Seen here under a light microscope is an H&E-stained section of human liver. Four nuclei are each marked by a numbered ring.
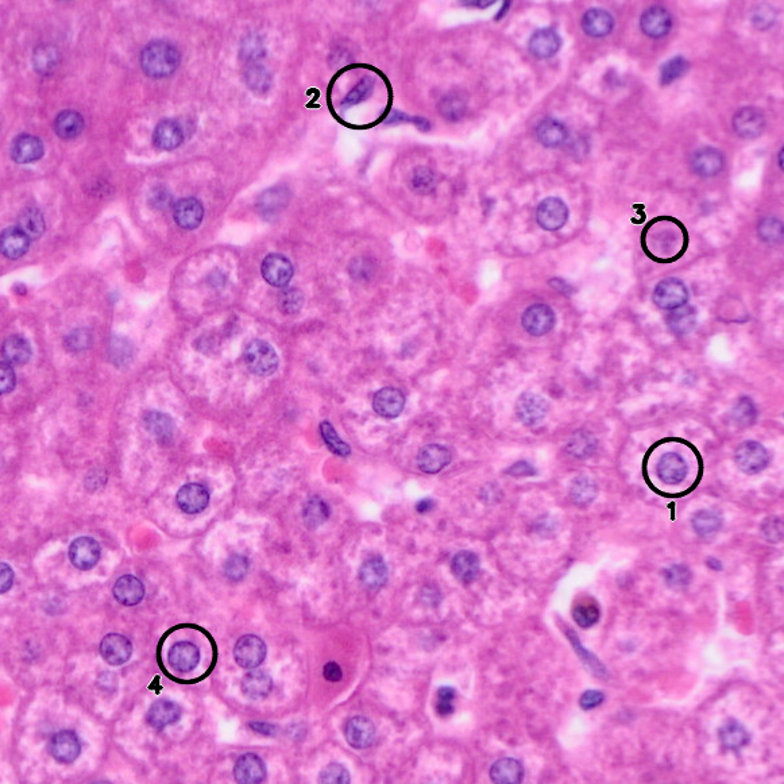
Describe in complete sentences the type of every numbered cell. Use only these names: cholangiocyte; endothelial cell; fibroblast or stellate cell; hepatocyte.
Cells 1, 3 and 4 are hepatocytes. Cell 2 is a fibroblast or stellate cell.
